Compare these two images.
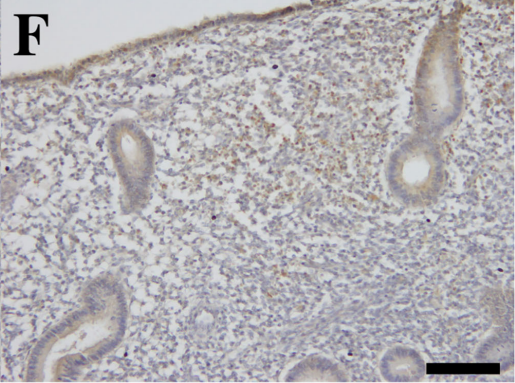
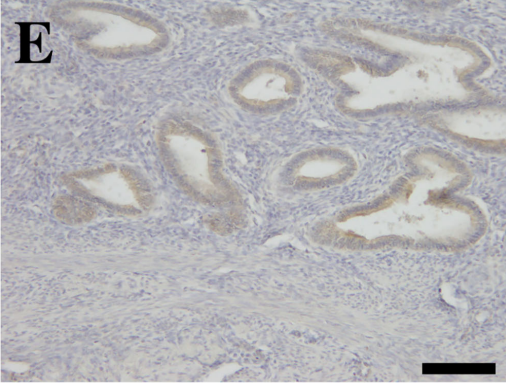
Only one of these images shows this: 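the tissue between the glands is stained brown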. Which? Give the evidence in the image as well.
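Second image: brown is mostly limited to the gland linings, the tissue between them is bluish grey. So: the first image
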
